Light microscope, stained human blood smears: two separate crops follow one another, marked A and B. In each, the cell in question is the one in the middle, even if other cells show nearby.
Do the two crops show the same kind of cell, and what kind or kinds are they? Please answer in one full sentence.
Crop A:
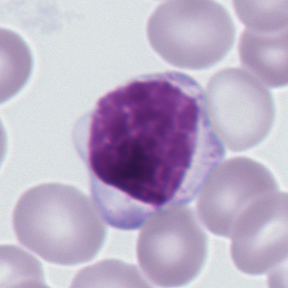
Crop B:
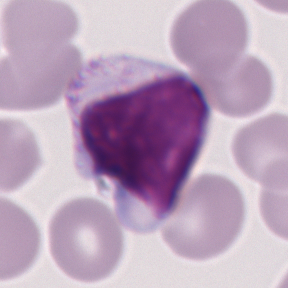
Yes, the two crops show large granular lymphocytes at their centres.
